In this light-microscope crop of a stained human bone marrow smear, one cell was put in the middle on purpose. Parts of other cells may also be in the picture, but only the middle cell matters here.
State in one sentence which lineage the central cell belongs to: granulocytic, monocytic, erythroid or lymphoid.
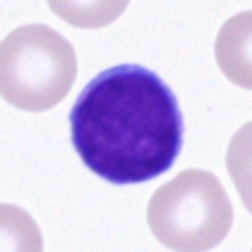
The cell at the center of the crop is assigned lymphoid lineage.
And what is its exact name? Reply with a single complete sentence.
The cell of interest, located centrally, is a lymphocyte.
